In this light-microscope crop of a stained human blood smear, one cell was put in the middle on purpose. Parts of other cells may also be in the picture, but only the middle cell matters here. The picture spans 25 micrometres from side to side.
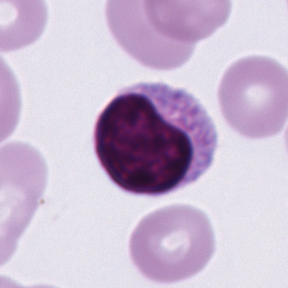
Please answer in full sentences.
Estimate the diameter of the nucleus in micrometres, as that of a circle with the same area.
The nucleus is about 8 micrometres across.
